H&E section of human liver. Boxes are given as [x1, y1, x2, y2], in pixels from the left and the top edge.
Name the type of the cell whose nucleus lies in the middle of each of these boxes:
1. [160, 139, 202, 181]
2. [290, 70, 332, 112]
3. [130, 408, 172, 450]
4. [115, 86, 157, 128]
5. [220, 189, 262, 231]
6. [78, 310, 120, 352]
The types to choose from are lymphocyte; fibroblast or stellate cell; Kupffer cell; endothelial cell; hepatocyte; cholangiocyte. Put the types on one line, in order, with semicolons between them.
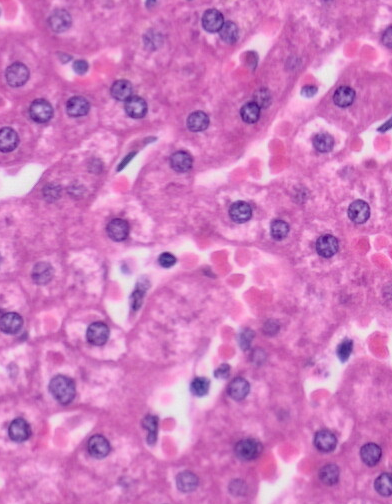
hepatocyte; lymphocyte; Kupffer cell; hepatocyte; hepatocyte; hepatocyte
